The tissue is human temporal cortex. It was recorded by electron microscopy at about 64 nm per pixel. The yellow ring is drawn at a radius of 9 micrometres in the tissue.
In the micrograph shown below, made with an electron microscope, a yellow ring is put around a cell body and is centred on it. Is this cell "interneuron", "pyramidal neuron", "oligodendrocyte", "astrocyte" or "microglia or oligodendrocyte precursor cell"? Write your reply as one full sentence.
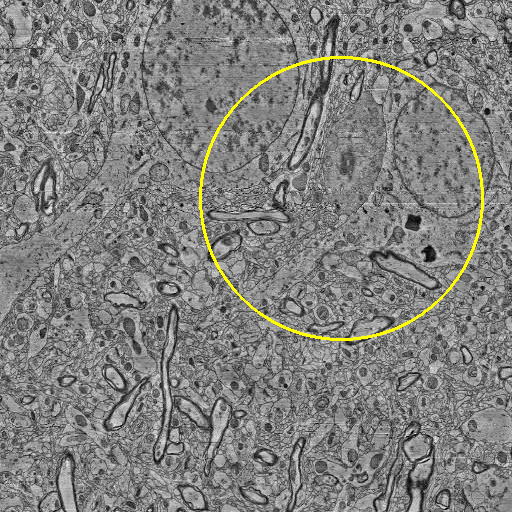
In the micrograph, an oligodendrocyte is the cell at the centre of the yellow ring.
